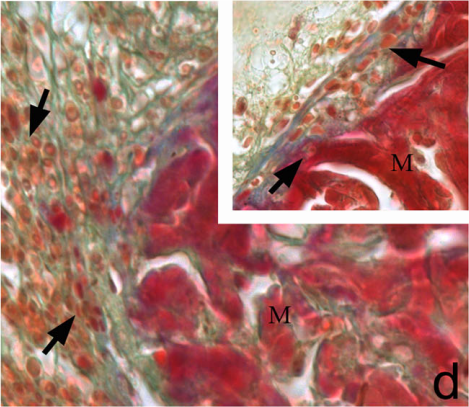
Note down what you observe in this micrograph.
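On the right, the myocytes form dense bundles stained deep red, with pale clefts between them. On the left, a loose meshwork of thin blue-green fibres holds many small round cells with reddish-brown nuclei. The inset shows the same border more closely, with blue-green strands running along the red muscle and round cells scattered among the fibres.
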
